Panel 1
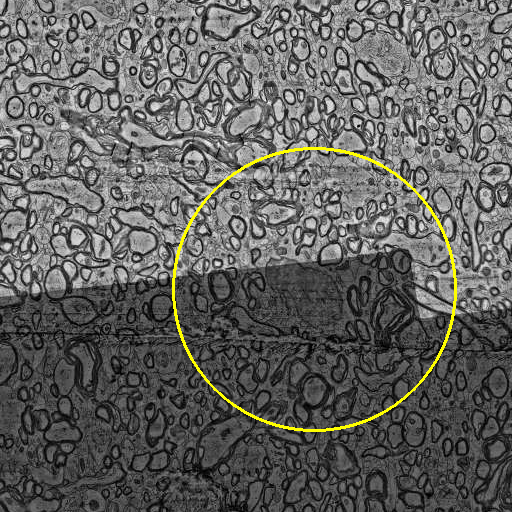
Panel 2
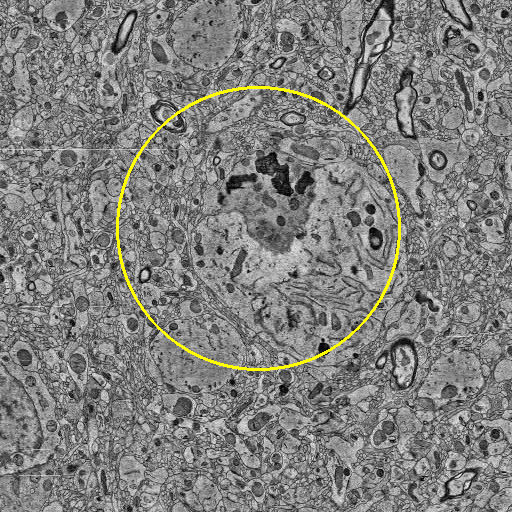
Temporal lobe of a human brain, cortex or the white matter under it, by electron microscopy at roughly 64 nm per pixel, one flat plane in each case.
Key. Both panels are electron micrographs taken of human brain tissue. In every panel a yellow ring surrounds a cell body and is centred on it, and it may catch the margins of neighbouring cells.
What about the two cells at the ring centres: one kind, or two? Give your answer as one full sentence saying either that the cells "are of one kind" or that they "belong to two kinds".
Across Panels 1 and 2, the two cells at the ring centres are of one kind.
